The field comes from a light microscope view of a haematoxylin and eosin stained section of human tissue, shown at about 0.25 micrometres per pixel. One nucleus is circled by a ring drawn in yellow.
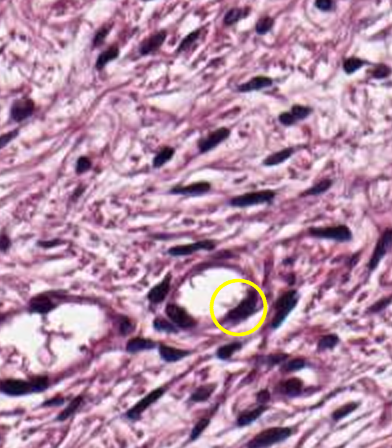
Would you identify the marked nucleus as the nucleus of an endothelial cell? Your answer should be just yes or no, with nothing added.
yes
